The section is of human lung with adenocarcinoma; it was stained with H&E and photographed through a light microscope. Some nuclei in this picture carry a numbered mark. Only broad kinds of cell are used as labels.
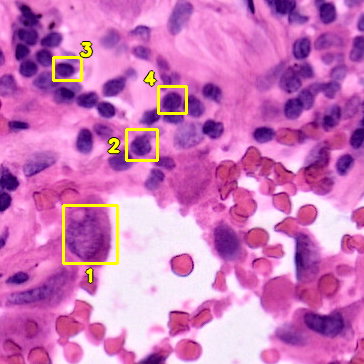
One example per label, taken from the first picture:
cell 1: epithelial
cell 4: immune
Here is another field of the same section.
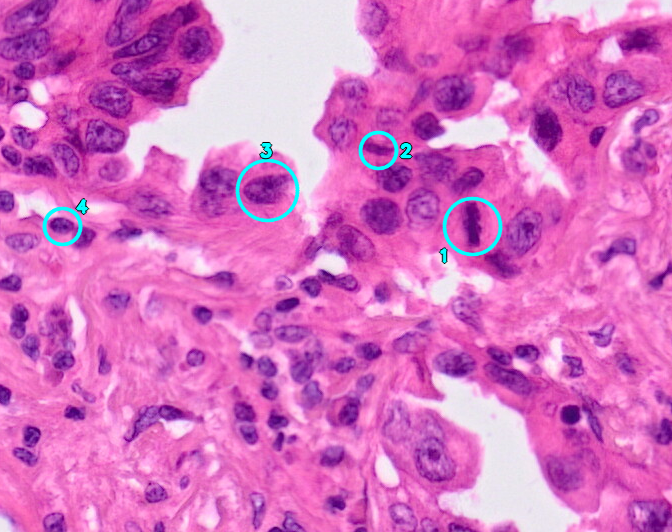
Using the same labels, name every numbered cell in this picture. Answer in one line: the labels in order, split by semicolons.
epithelial; epithelial; epithelial; immune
